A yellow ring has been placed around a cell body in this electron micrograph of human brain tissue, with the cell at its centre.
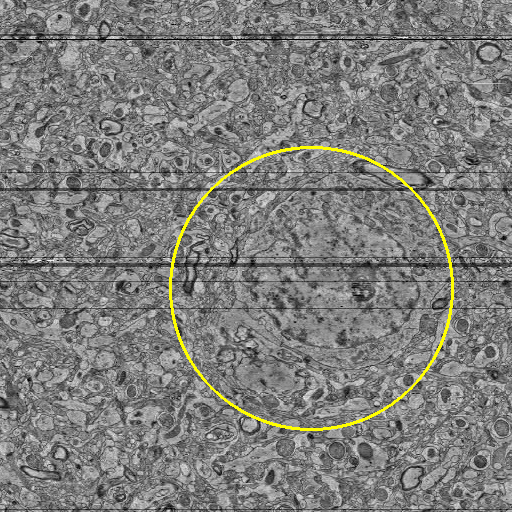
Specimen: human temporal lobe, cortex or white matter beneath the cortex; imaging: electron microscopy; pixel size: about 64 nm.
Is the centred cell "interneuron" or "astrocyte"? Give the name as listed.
interneuron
